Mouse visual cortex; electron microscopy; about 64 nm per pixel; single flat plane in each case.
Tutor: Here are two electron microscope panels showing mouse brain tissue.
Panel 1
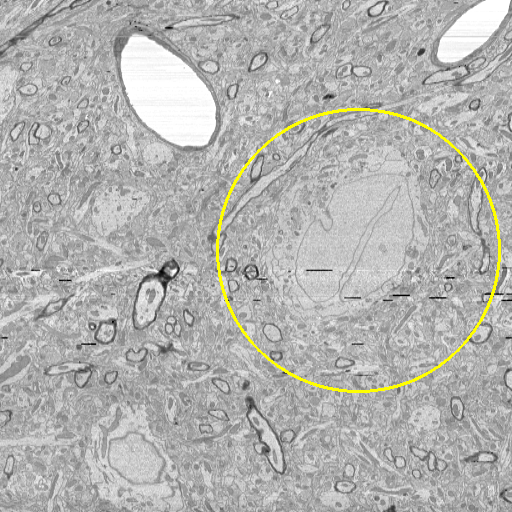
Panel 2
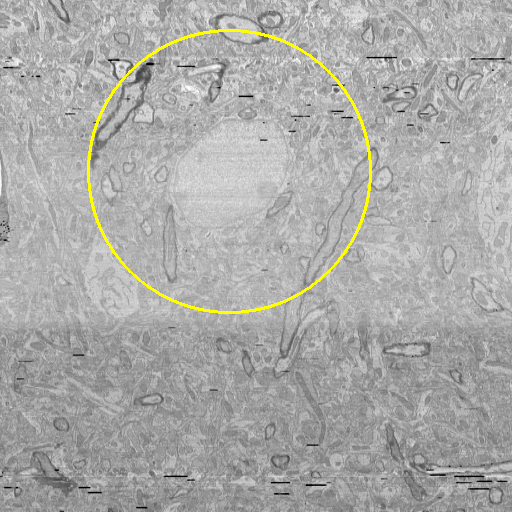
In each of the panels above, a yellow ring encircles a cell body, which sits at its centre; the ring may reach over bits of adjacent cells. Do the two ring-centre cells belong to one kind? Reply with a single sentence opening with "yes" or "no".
No, the two cells sitting at the ring centres in the panels belong to two kinds.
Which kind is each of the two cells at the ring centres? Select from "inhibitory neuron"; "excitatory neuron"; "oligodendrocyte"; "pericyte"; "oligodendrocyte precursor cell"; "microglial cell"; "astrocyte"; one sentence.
The cell at the centre of the ring is an excitatory neuron in the first picture and an astrocyte in the second.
